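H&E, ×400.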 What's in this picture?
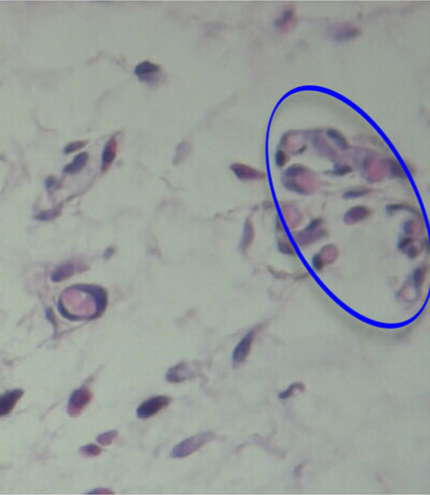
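This is loose, pale connective tissue at higher magnification, with scattered cells that include eosinophils. The background is very pale and wispy, with only thin fibrils, so the cells lie far apart. Several cells are spindle-shaped with elongated dark nuclei. Others are rounded, with bright pink-red staining and a darker purple rim. On the right, a group of these rounded pink-staining cells lies clustered together. Another rounded cell, with a pink centre inside a darker outline, lies to the left of the middle.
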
